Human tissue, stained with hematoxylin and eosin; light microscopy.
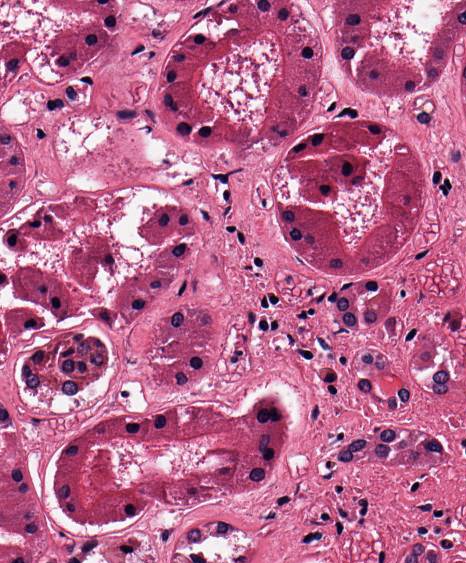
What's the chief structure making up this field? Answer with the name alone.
cortical labyrinth of the kidney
